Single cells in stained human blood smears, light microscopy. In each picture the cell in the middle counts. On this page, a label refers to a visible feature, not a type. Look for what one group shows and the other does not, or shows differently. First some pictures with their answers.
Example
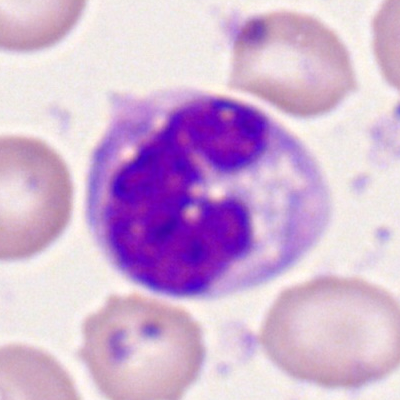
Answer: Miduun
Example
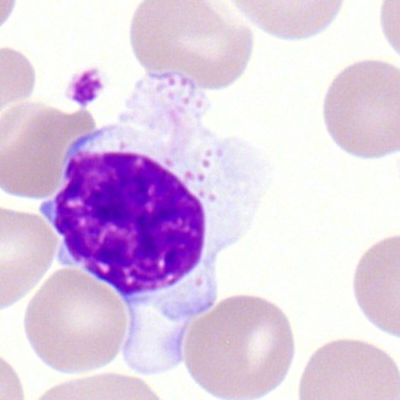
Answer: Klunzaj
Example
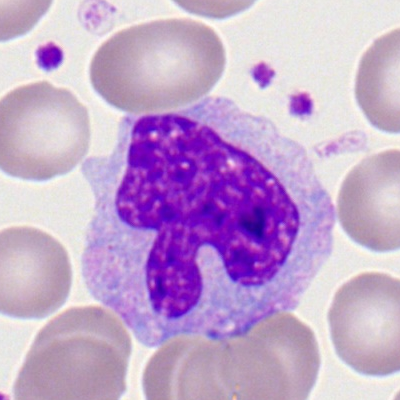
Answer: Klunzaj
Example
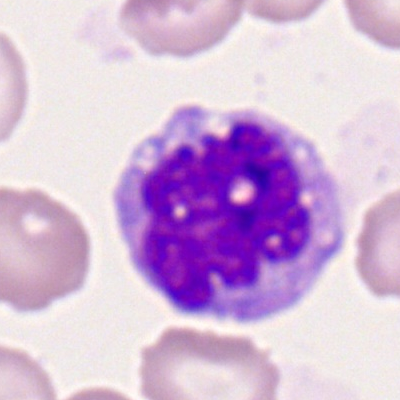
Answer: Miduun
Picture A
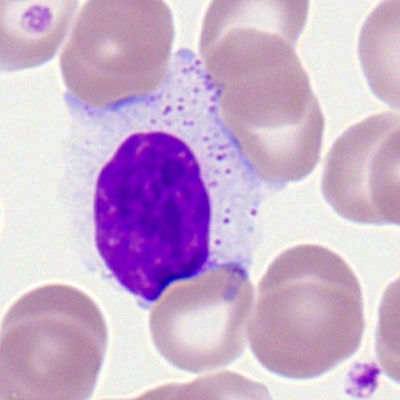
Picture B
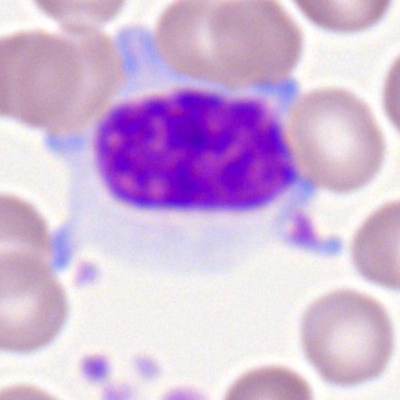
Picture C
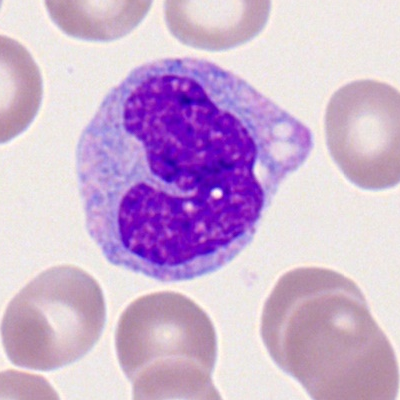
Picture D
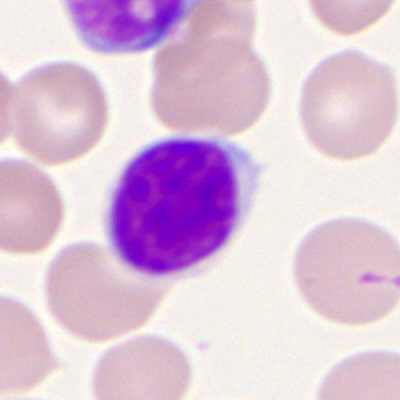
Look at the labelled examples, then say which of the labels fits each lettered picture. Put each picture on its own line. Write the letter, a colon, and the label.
A: Klunzaj
B: Klunzaj
C: Klunzaj
D: Miduun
